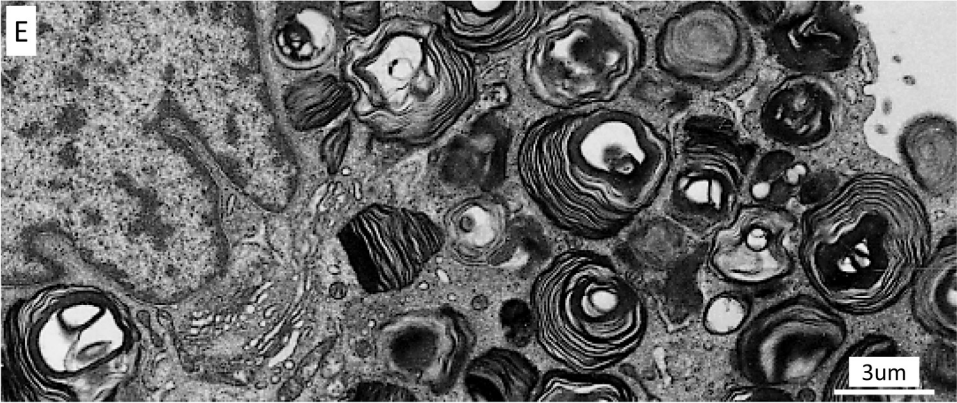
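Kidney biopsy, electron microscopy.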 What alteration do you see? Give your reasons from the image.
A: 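The cytoplasm is packed with many round inclusions. The inclusions are built of concentric or parallel dark lamellae. Some inclusions have clear centres.
Hence: numerous zebra bodies.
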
